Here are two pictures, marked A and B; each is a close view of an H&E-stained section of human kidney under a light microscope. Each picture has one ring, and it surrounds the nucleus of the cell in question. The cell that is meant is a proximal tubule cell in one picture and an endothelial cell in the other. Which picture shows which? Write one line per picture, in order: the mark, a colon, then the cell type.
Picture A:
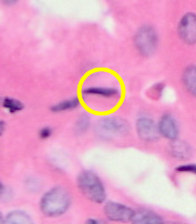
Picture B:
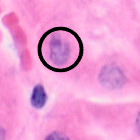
A: endothelial cell
B: proximal tubule cell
